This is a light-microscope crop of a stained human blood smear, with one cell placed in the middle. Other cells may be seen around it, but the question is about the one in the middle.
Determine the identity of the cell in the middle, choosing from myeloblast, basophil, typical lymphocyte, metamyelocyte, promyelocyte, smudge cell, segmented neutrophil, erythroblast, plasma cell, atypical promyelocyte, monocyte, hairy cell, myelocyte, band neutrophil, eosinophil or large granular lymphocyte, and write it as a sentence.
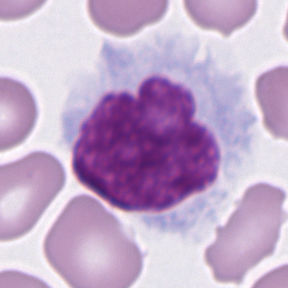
The cell centred in this crop is categorized as a hairy cell.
